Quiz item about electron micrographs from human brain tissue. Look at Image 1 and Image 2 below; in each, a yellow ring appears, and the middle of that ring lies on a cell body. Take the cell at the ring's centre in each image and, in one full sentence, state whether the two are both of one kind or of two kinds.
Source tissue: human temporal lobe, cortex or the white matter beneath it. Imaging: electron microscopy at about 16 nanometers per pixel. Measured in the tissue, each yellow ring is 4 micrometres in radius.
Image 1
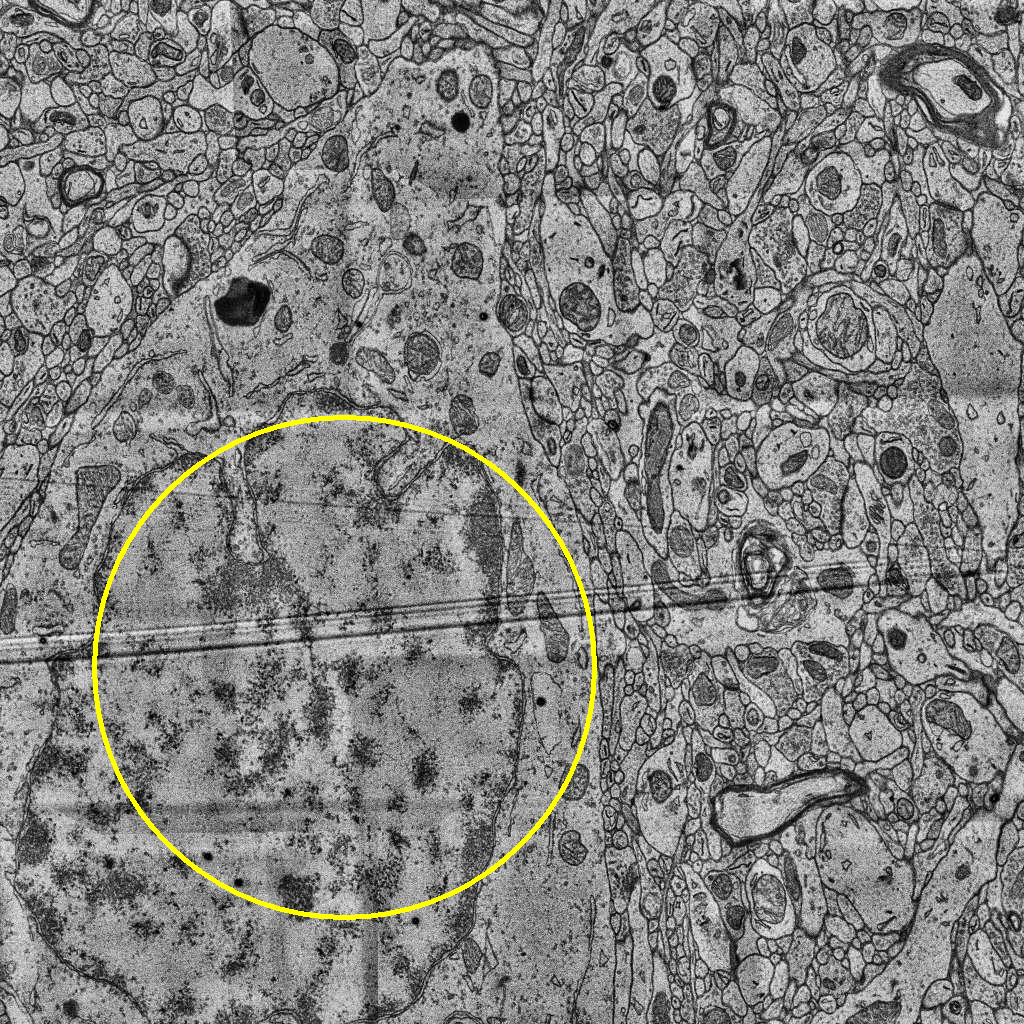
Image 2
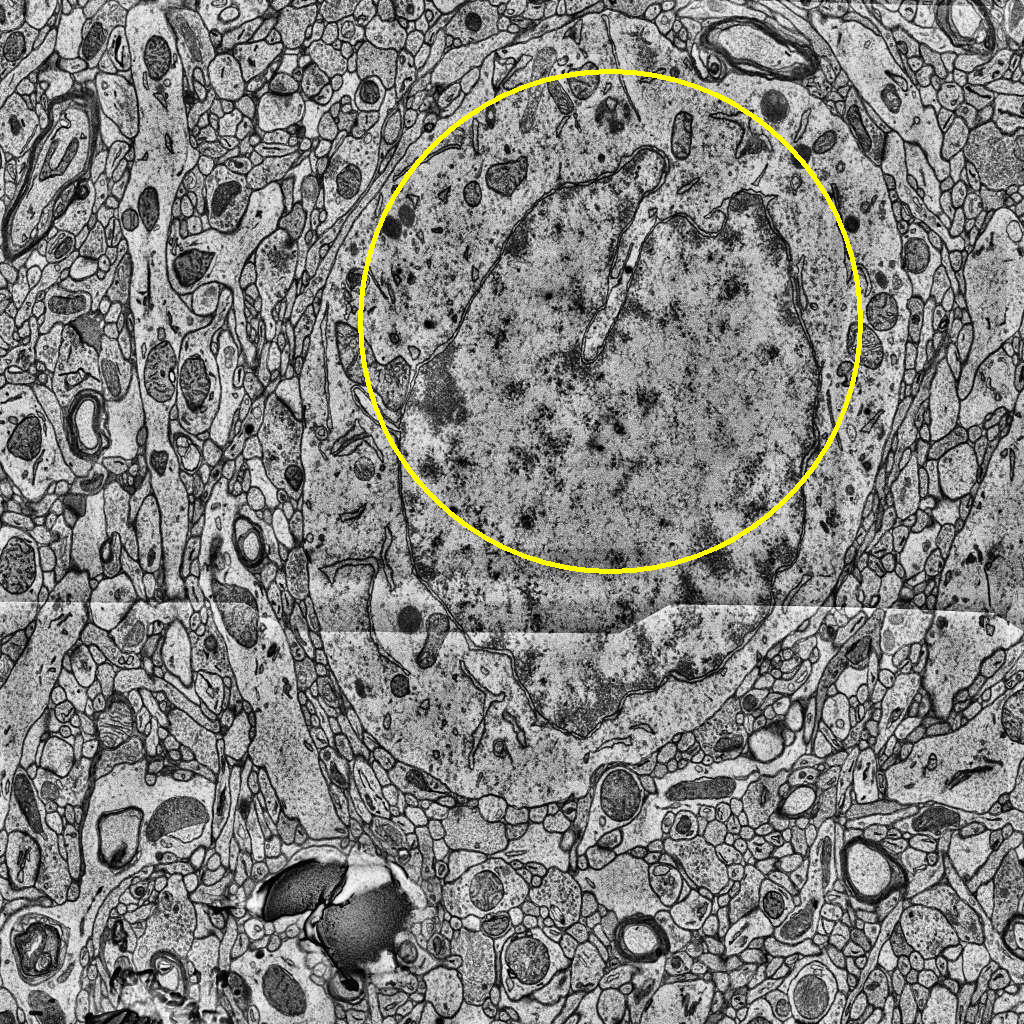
In Image 1 and Image 2, the cells at the ring centres are both of one kind.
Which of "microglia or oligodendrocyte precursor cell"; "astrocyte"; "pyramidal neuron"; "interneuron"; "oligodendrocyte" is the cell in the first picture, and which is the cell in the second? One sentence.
Both pictures show an interneuron at the centre of the ring.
